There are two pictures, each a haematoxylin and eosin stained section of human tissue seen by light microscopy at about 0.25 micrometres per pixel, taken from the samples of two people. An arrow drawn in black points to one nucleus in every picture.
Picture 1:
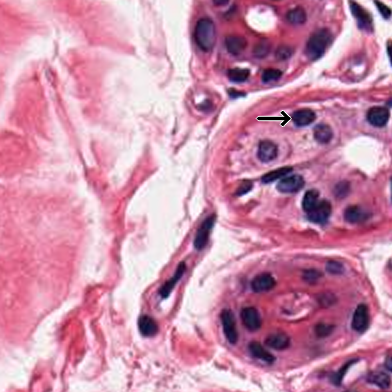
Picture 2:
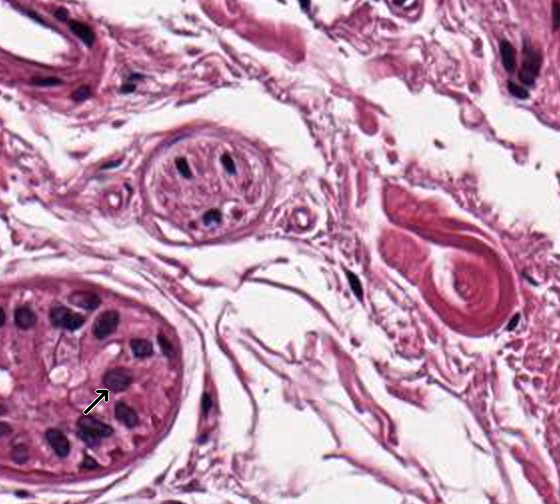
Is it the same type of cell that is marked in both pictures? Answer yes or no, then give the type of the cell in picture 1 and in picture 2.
Yes, both are sweat gland cells.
